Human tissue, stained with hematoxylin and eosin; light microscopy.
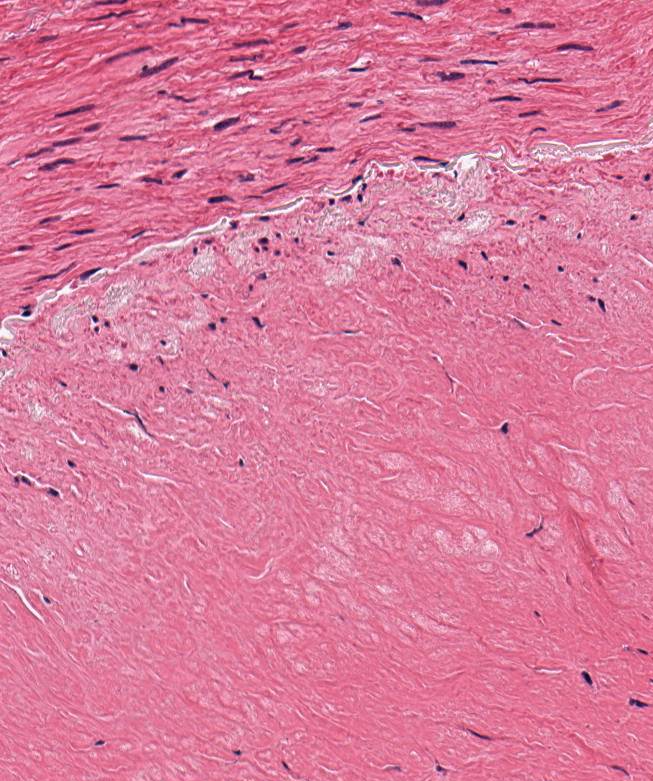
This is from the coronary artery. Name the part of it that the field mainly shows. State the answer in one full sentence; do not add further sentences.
The part of the tissue seen in this section is tunica intima.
